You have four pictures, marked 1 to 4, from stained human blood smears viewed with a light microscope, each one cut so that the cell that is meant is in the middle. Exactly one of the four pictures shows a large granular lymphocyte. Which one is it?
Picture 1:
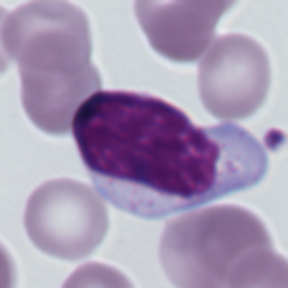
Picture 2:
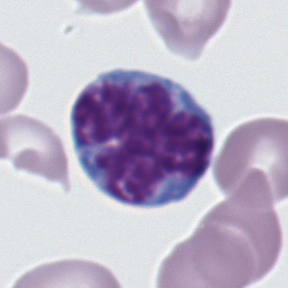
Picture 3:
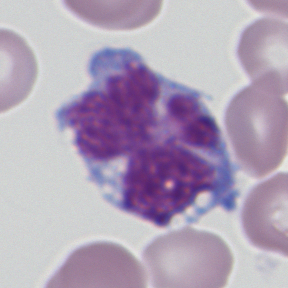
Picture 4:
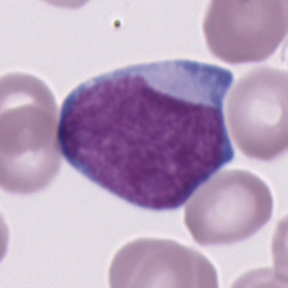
1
